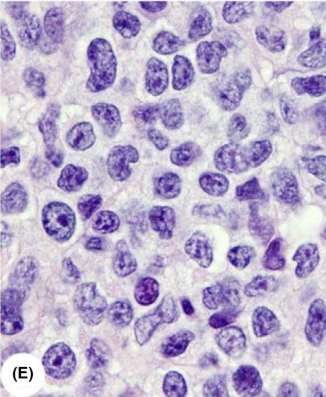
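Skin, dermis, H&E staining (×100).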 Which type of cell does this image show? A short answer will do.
Neoplastic cells.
